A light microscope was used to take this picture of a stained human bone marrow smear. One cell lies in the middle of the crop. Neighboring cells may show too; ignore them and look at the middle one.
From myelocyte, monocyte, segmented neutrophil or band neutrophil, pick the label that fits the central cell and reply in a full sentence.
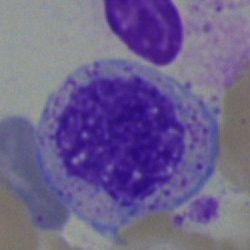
Present in the middle of the crop is a myelocyte.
